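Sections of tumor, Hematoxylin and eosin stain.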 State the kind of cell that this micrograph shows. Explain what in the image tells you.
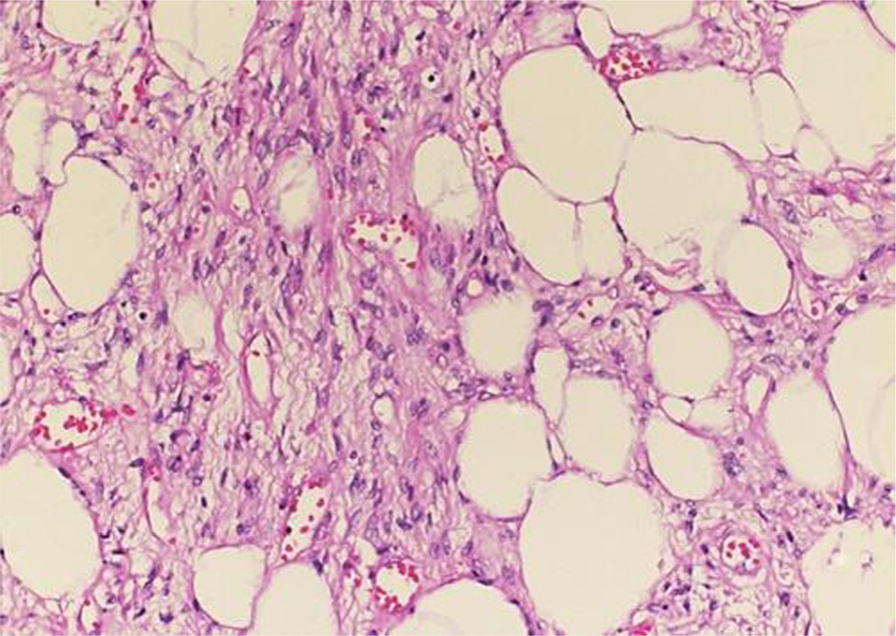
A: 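Large round to polygonal empty-looking clear spaces bounded by thin pink membranes. The clear spaces vary in size and sit packed against each other. Small flattened nuclei lie at the rim of some clear spaces. That points to this answer: mature adipocytes.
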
